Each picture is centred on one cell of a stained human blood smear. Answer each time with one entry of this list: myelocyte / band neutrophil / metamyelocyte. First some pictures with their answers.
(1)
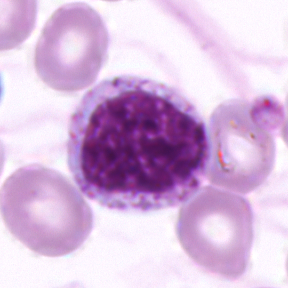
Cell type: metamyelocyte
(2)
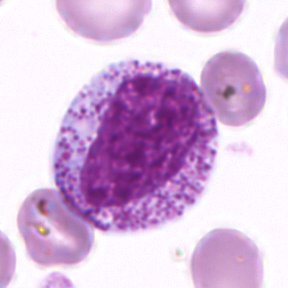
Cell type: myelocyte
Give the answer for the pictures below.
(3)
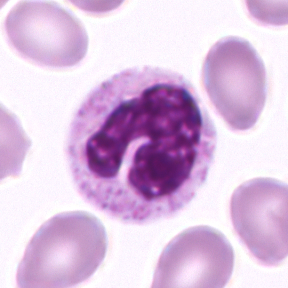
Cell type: band neutrophil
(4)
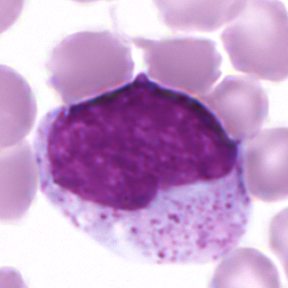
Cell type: myelocyte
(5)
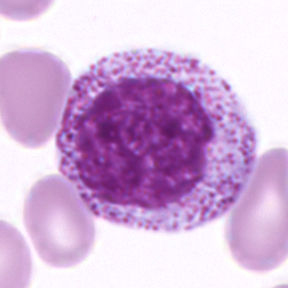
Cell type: myelocyte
